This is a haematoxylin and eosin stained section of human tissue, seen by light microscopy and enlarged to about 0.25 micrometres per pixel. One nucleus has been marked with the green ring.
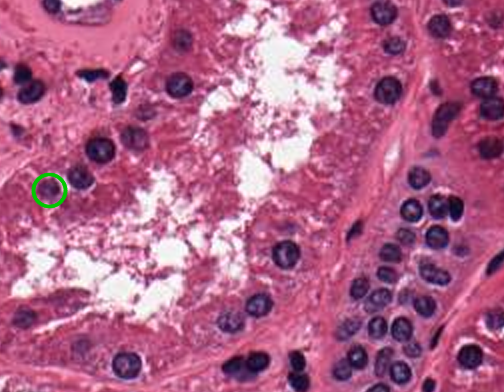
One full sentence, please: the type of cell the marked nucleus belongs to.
The cell whose nucleus is marked is a proximal tubule cell.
